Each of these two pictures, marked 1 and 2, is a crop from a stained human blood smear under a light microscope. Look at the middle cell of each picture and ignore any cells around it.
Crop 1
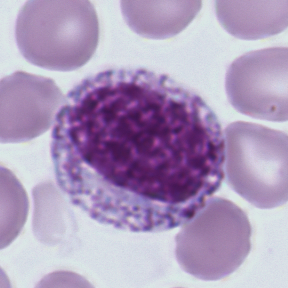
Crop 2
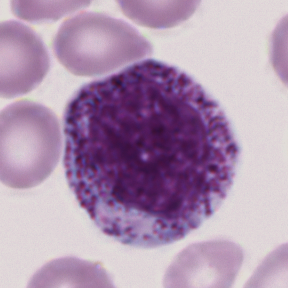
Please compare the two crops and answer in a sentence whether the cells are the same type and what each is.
Yes, both crops feature myelocytes at the centre.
